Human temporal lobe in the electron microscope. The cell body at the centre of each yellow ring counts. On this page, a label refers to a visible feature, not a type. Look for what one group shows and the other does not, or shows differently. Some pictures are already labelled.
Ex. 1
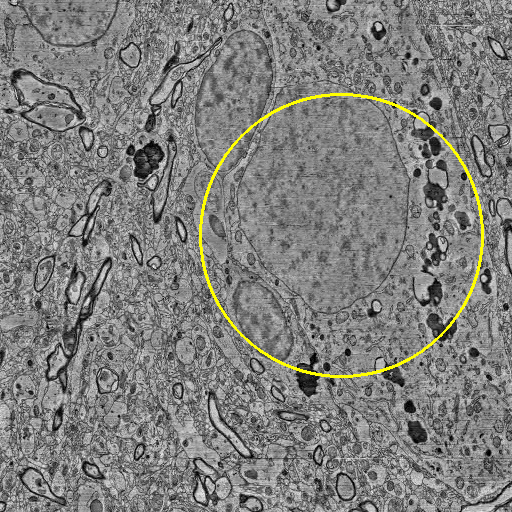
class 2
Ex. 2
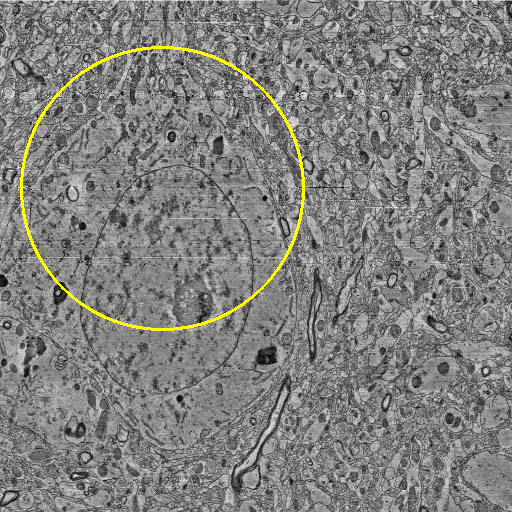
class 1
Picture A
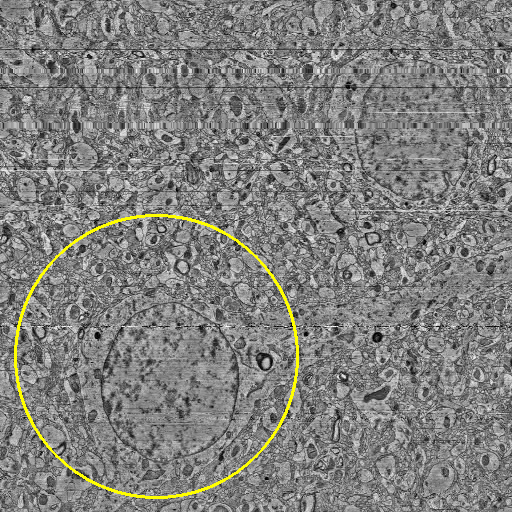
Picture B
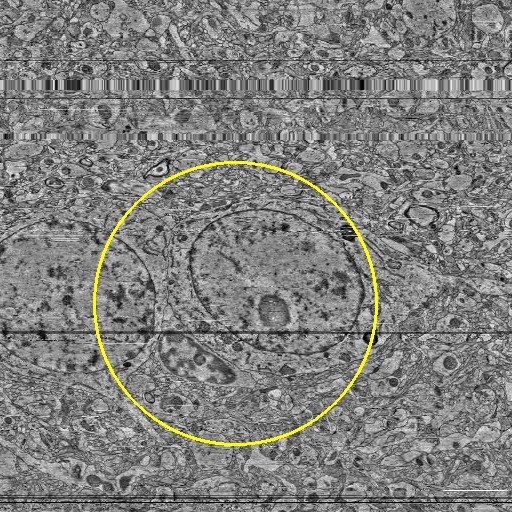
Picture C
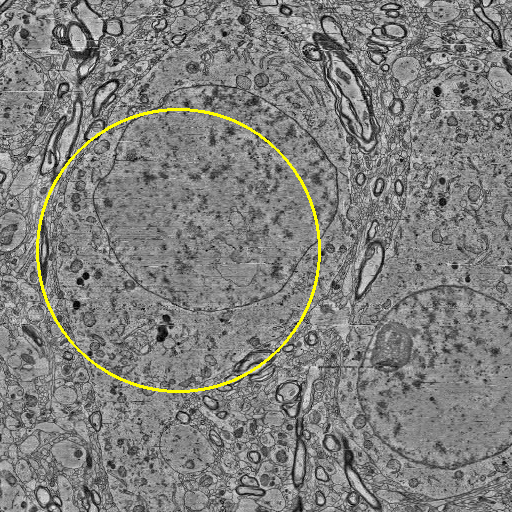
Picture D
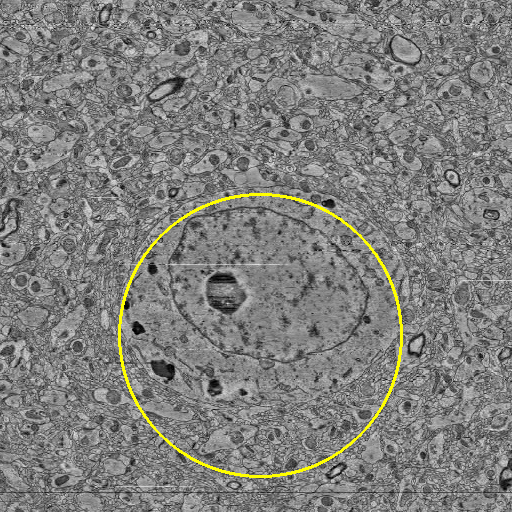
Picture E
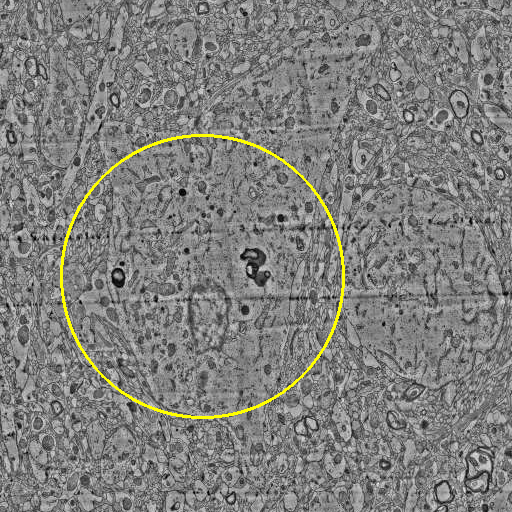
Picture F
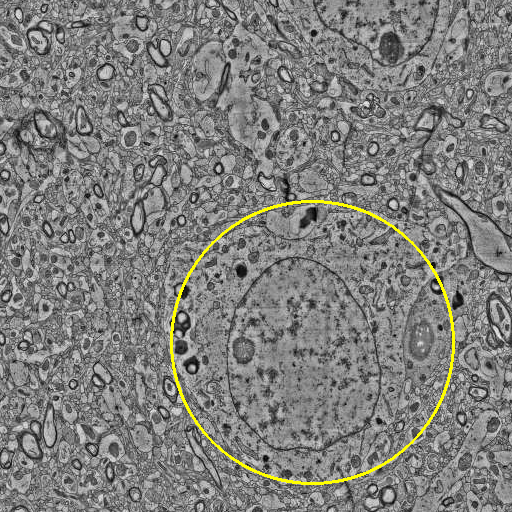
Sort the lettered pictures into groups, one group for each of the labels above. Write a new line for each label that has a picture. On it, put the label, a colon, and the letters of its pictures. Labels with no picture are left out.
class 2: A, C, E
class 1: B, D, F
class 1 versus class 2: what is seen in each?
class 1, nucleolus seen; class 2, no nucleolus seen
